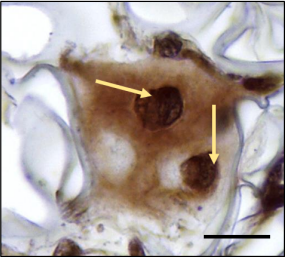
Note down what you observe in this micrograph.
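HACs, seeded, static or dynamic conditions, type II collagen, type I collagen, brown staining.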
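Here a small cluster of rounded cells sits in a pocket of the pale, glassy sponge scaffold. Two cells in the middle have dark, rounded nuclei, and around them the cytoplasm and the surrounding material are filled with an even, golden-brown stain that forms a broad patch spreading between the cells. Lighter holes within the brown patch mark spaces without stain. At the edges, the thin, bluish-grey walls of the scaffold curve around the cluster, and a few more cells with dark nuclei lie along its rim. The cells look plump and rounded rather than stretched out.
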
